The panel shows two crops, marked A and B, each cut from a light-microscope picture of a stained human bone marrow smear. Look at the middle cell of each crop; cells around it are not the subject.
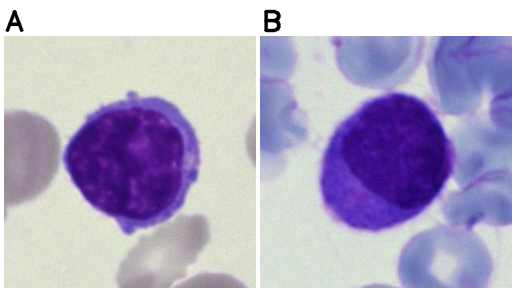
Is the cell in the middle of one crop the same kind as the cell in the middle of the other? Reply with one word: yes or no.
no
